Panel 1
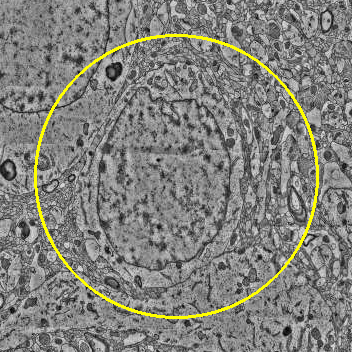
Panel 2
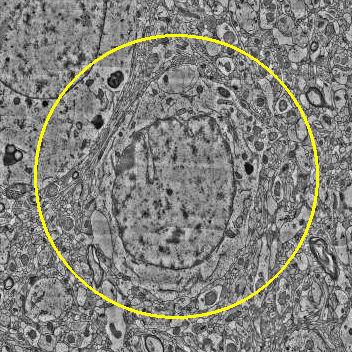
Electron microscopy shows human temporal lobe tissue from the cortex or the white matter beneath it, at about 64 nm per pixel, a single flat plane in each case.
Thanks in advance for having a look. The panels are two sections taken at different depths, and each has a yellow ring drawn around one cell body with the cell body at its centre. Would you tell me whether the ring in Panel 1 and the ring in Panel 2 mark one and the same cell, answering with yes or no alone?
yes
